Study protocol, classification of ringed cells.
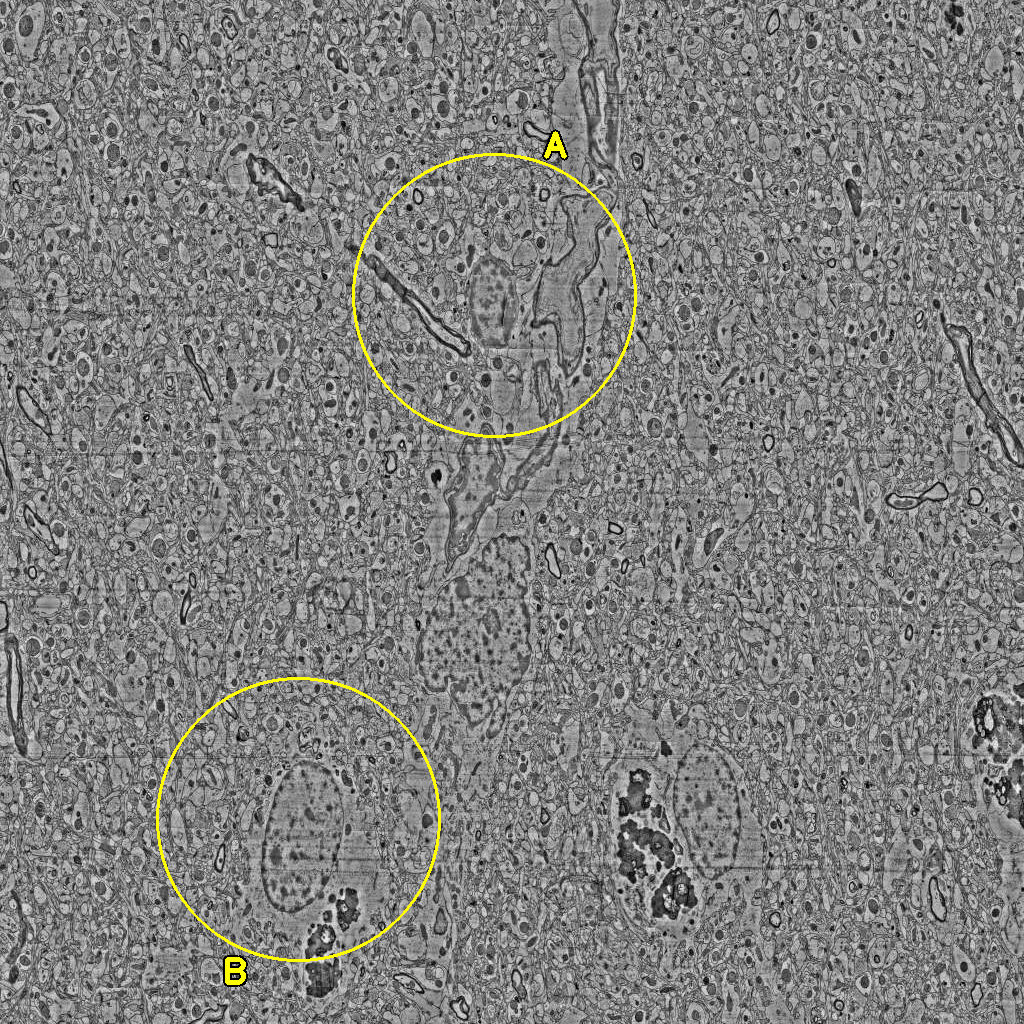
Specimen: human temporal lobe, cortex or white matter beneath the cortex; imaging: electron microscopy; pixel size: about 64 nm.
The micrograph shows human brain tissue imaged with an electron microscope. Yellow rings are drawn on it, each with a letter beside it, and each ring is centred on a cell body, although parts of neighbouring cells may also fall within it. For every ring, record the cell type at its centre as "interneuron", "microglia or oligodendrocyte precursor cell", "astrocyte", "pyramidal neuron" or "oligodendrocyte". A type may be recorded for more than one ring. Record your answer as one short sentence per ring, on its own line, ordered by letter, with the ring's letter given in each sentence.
Ring A has been centred on an oligodendrocyte.
Ring B has been centred on an astrocyte.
